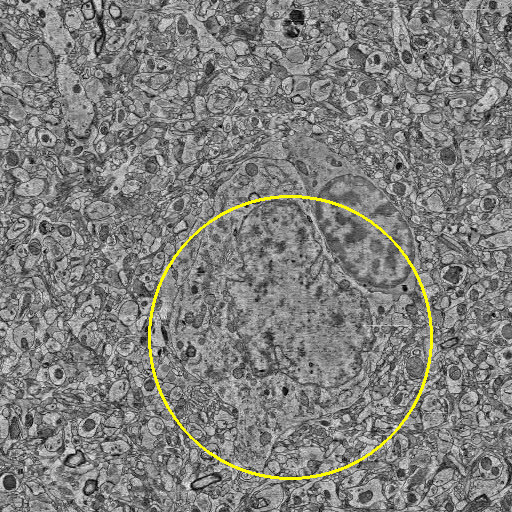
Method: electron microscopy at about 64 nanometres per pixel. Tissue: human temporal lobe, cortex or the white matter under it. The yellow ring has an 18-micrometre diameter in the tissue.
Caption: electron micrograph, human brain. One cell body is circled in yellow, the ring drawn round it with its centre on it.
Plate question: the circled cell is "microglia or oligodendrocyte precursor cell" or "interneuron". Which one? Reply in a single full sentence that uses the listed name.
The yellow ring on the plate is centred on an interneuron, going by the listed names.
